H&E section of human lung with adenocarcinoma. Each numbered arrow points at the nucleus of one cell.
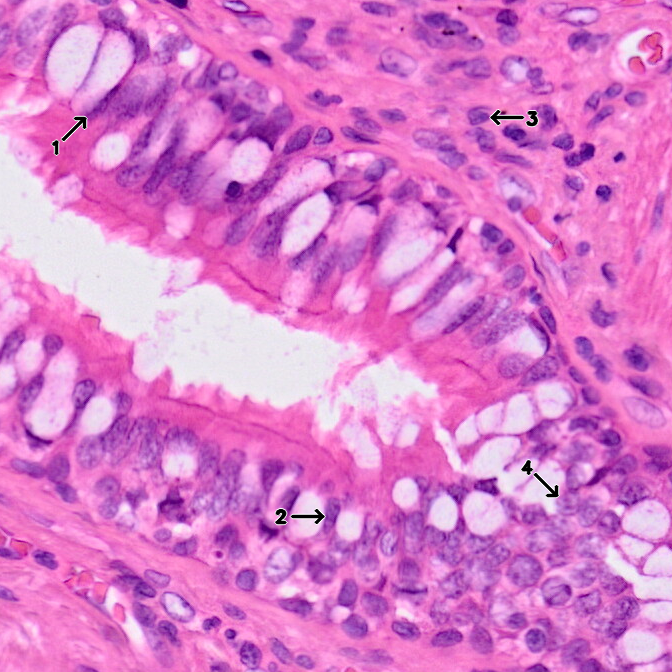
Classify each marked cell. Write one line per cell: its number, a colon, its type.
1: ciliated epithelial cell
2: ciliated epithelial cell
3: lymphocyte
4: ciliated epithelial cell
